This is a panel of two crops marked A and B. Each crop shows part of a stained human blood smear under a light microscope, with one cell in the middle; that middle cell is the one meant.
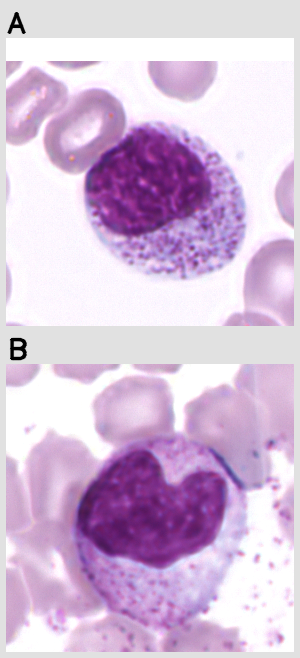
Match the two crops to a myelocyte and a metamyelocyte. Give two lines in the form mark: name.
A: myelocyte
B: metamyelocyte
